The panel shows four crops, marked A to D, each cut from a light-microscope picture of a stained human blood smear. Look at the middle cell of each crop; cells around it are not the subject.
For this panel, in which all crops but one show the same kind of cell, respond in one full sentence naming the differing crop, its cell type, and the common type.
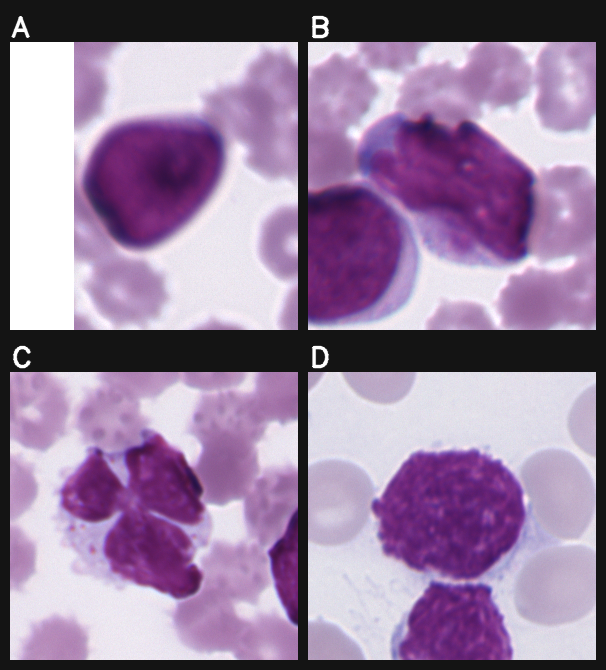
Crop C stands apart as a large granular lymphocyte, whereas the remaining crops all show myeloblasts.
